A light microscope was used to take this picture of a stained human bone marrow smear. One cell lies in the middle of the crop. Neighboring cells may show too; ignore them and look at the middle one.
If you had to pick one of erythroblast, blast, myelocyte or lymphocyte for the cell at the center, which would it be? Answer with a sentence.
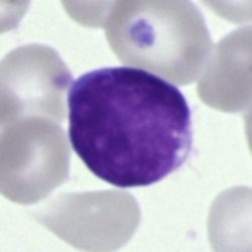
The cell at the middle of the frame should be recorded as a blast.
